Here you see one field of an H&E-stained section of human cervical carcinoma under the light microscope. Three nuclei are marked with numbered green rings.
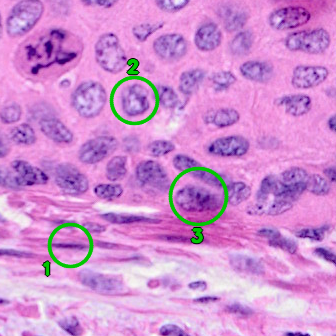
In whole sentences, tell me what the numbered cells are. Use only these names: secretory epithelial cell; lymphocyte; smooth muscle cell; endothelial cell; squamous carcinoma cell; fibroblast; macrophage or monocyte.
Cell 1 is a fibroblast. Cells 2 and 3 are squamous carcinoma cells.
